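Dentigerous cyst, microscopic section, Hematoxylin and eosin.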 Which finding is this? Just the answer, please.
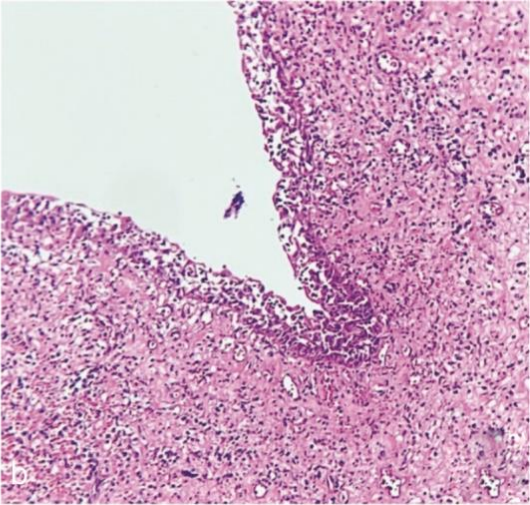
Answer: Inflamed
